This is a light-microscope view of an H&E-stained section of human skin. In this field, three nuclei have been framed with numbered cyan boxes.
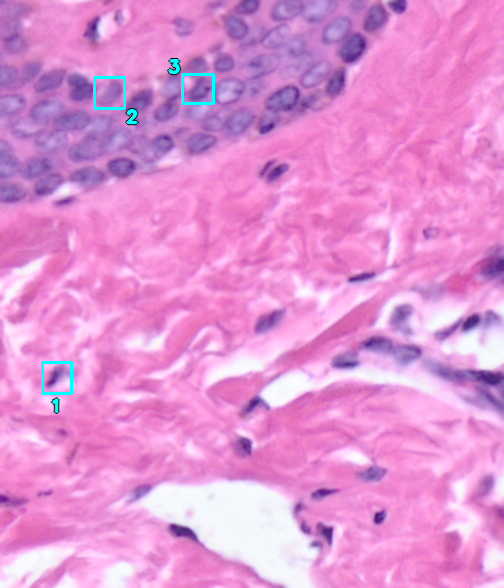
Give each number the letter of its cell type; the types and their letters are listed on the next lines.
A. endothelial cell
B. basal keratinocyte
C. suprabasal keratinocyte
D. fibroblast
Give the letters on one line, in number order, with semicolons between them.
D; B; B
